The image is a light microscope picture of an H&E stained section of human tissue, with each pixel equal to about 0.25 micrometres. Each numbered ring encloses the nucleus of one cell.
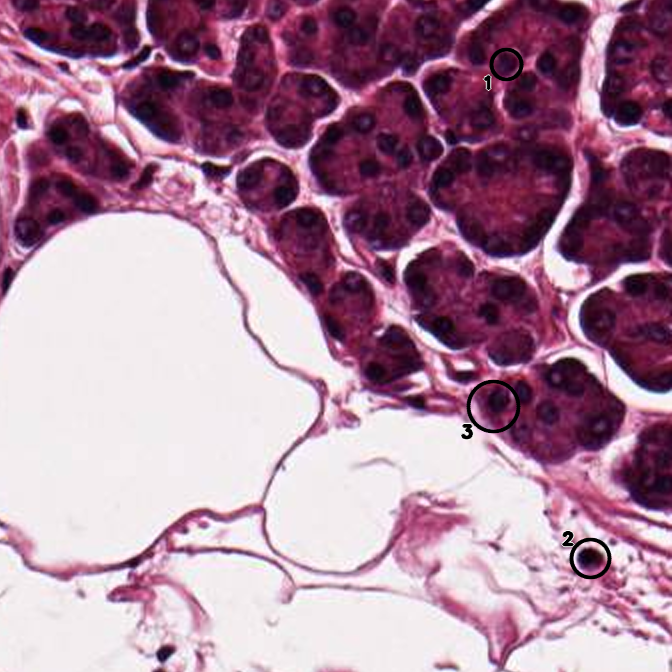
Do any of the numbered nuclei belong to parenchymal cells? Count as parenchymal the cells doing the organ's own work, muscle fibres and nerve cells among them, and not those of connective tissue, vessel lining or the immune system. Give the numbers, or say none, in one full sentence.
Contained in parenchymal cells are nuclei 1 and 3.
